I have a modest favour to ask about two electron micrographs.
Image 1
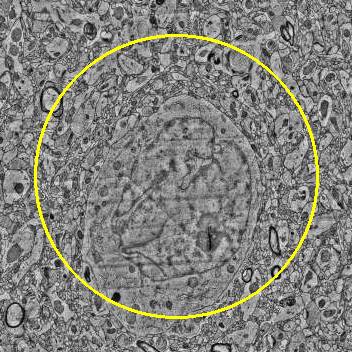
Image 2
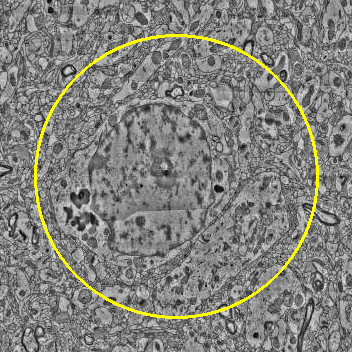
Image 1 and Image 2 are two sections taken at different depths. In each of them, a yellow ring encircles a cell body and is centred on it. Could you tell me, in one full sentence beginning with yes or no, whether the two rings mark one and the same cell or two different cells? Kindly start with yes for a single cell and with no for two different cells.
No, two different cells are marked by the two rings.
